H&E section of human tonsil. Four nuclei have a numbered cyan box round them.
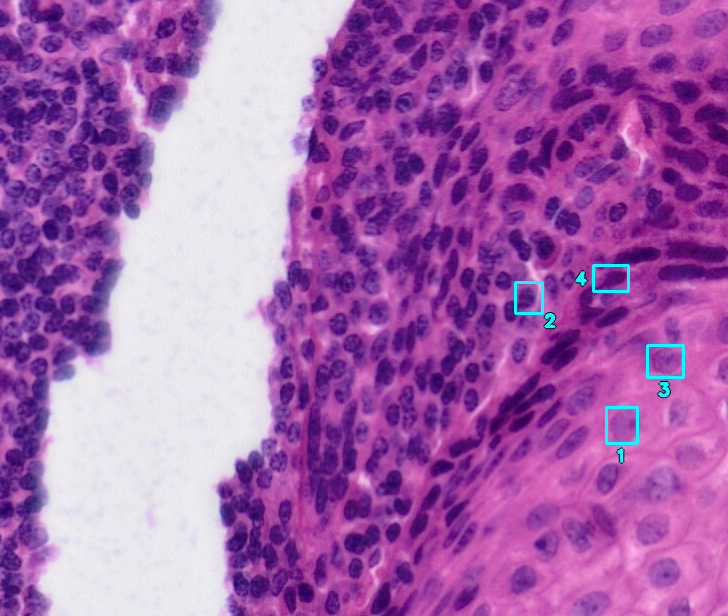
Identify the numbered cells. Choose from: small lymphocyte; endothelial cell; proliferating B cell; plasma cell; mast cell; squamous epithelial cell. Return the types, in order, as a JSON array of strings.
["squamous epithelial cell", "plasma cell", "squamous epithelial cell", "squamous epithelial cell"]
